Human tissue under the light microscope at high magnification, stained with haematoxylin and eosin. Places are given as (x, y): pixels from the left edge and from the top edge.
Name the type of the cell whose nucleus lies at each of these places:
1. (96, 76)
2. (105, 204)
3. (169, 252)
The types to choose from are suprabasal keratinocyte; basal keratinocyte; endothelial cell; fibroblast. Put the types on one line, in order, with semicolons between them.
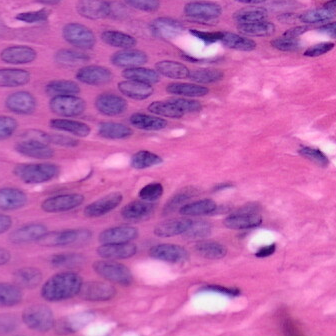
suprabasal keratinocyte; basal keratinocyte; basal keratinocyte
